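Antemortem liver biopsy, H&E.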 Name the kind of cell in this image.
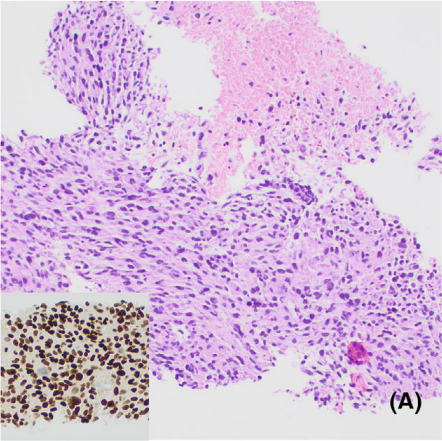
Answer: pleomorphic malignant spindle cells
